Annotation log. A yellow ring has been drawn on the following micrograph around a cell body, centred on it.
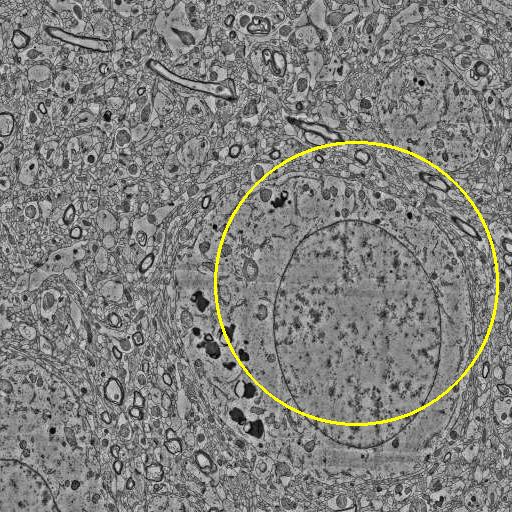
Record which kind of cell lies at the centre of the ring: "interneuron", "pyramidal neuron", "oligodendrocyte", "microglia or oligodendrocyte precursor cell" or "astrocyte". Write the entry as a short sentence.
The cell the ring is centred on is a pyramidal neuron.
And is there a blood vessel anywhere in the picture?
No, a blood vessel is absent from this picture.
